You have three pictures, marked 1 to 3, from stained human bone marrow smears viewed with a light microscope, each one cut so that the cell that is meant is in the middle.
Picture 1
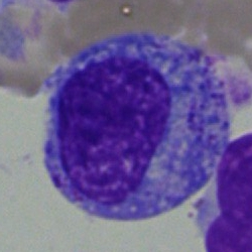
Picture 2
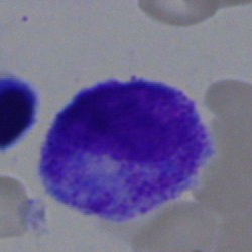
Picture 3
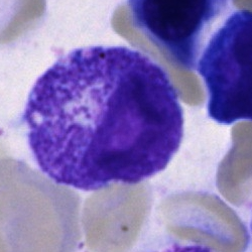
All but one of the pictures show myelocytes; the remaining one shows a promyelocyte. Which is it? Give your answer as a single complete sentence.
Picture 3 shows the promyelocyte.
